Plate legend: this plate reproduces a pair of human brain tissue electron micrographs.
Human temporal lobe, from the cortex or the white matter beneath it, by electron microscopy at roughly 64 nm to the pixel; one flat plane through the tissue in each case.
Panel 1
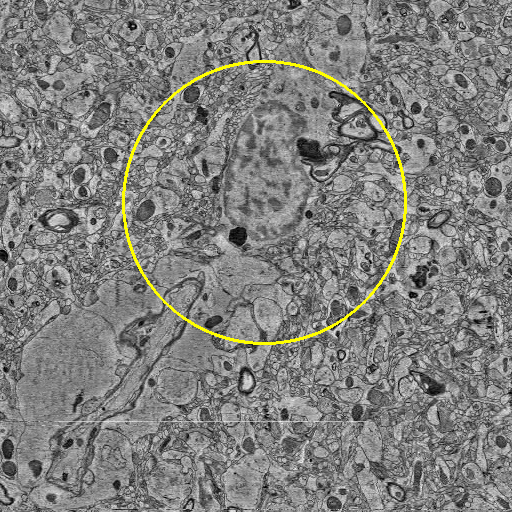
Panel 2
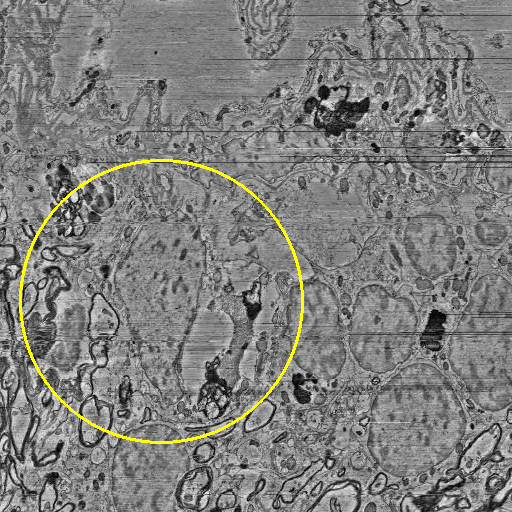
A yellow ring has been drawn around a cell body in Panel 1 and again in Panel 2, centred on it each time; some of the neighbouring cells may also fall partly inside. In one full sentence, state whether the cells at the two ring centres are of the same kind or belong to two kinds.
The ring-centred cells of Panel 1 and Panel 2 belong to two kinds.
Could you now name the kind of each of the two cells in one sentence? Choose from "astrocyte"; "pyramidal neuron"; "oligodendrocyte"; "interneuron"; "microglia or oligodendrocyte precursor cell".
The first ring encloses an oligodendrocyte; the second ring encloses an astrocyte.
